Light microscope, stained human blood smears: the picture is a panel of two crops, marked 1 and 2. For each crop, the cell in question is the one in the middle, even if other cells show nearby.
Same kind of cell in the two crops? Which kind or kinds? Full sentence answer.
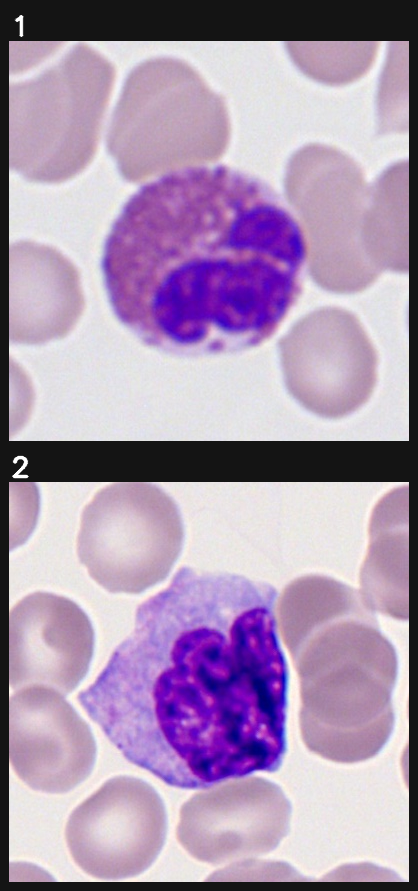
No, crop 1 displays an eosinophil, and crop 2 displays a monocyte.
